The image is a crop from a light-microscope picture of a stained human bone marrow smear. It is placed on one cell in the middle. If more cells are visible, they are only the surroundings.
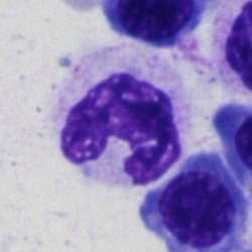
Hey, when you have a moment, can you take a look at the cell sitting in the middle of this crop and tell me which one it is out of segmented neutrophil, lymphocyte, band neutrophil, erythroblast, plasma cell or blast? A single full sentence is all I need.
Whatever else lies nearby, the middle cell is a band neutrophil.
